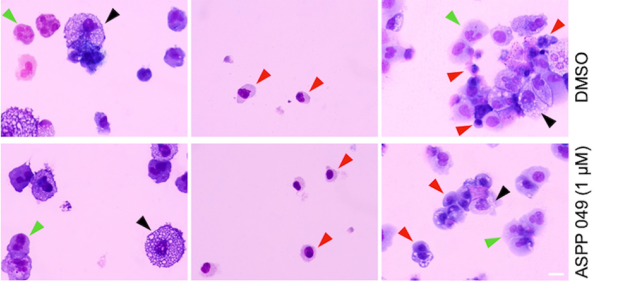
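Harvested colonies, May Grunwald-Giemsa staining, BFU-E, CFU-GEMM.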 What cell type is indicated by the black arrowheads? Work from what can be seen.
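The marked cells are much larger than their neighbours. Their cytoplasm is abundant and full of vacuoles.
Hence: macrophages.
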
